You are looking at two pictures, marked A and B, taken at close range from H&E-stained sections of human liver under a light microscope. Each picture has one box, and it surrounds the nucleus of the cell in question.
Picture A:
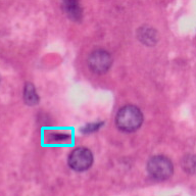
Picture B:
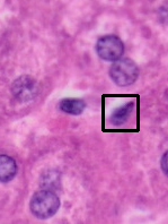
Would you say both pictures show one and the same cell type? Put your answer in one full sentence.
No, the types are not the same, since picture A shows a “fibroblast or stellate cell” and picture B an endothelial cell.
